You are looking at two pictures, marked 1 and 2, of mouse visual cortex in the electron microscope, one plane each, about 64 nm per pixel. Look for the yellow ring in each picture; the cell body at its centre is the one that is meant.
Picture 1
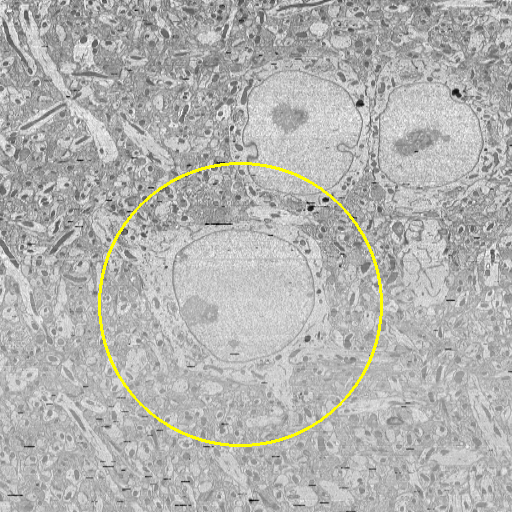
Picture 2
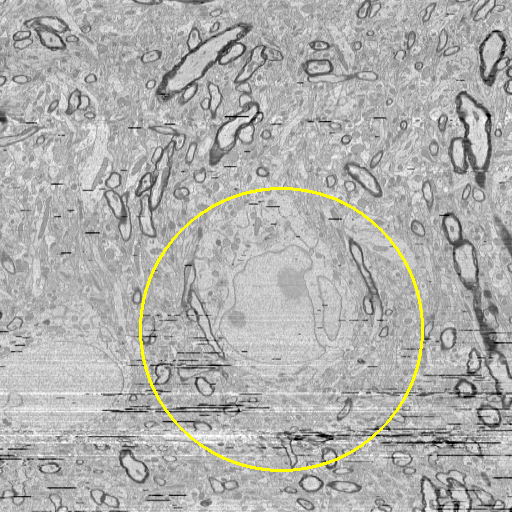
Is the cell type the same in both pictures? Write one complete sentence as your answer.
Yes, the two pictures both show excitatory neurons.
